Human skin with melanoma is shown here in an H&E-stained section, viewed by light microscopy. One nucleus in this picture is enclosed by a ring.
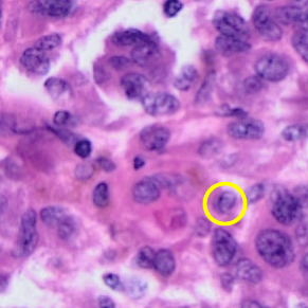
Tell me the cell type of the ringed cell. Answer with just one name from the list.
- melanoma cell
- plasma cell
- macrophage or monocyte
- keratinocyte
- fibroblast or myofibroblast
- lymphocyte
macrophage or monocyte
